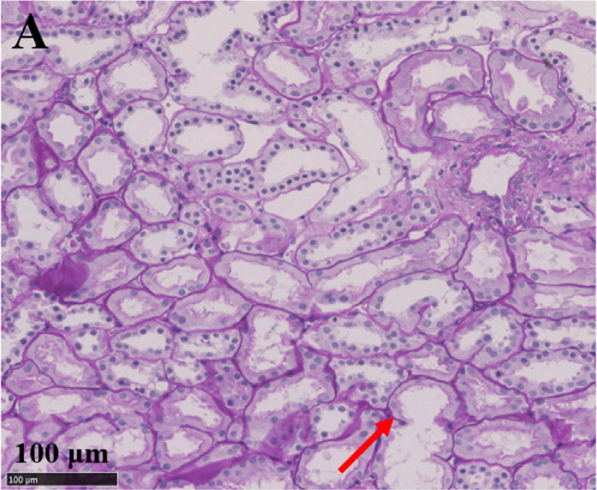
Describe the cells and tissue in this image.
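This is a field of kidney cortex crowded with renal tubules, each lined by a single layer of cuboidal epithelial cells with round dark nuclei resting on a sharply magenta basement membrane. The tubules lie close together with only thin strands of interstitium between them, and the interstitium looks unremarkable. Many tubular cells have pale, bubbly or granular pink cytoplasm rather than a uniform one. Some tubules have lost the fuzzy luminal edge of their lining and show wide, irregular, empty lumens with thinned epithelium. Together these features fit focal degeneration of the tubular epithelium with dilated tubules.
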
